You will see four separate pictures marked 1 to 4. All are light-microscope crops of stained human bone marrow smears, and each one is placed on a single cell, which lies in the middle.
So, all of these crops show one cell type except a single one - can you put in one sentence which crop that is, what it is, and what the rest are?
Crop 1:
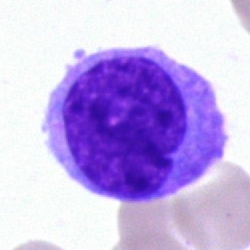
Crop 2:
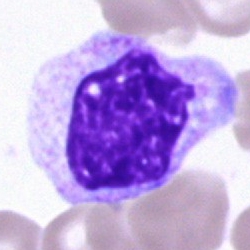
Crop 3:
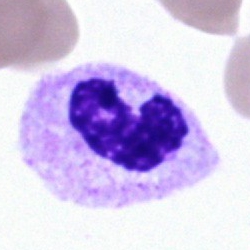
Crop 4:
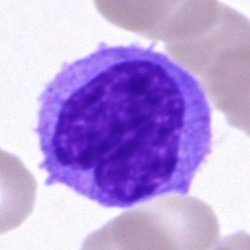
The crop that differs is crop 3, showing a neutrophil; the others show monocytes.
